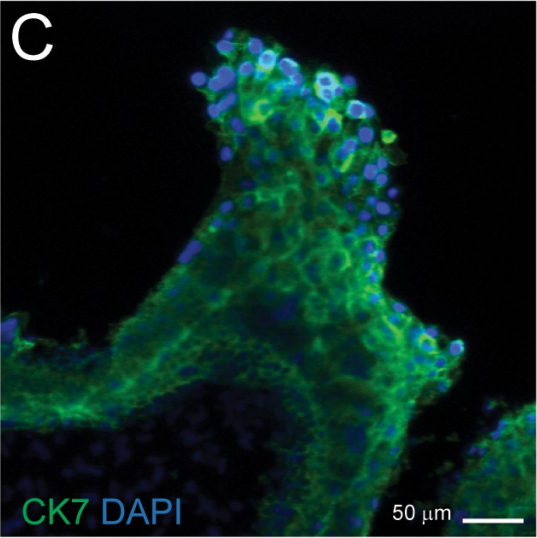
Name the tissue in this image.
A: Placenta villi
